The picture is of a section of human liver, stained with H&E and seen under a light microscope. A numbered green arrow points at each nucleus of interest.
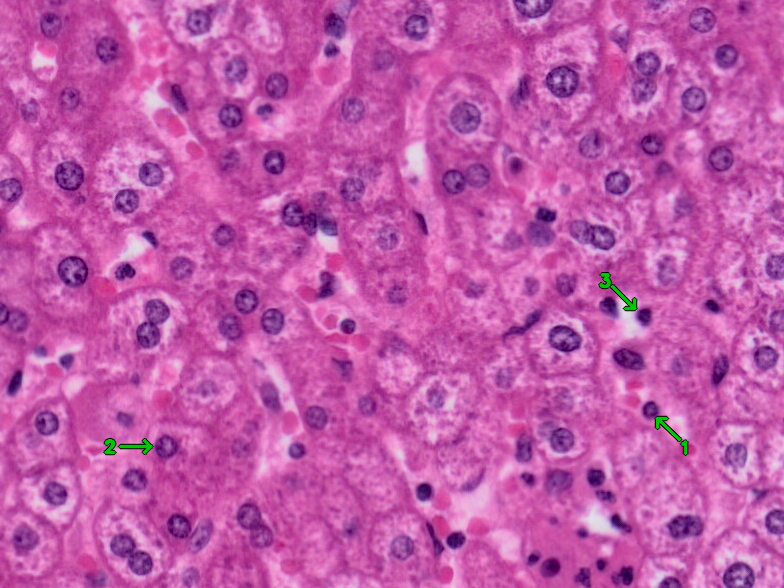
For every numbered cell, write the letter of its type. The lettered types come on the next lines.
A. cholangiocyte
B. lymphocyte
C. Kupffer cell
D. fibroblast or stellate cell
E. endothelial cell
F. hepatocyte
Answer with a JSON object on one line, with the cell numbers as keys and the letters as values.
{"1": "B", "2": "F", "3": "B"}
